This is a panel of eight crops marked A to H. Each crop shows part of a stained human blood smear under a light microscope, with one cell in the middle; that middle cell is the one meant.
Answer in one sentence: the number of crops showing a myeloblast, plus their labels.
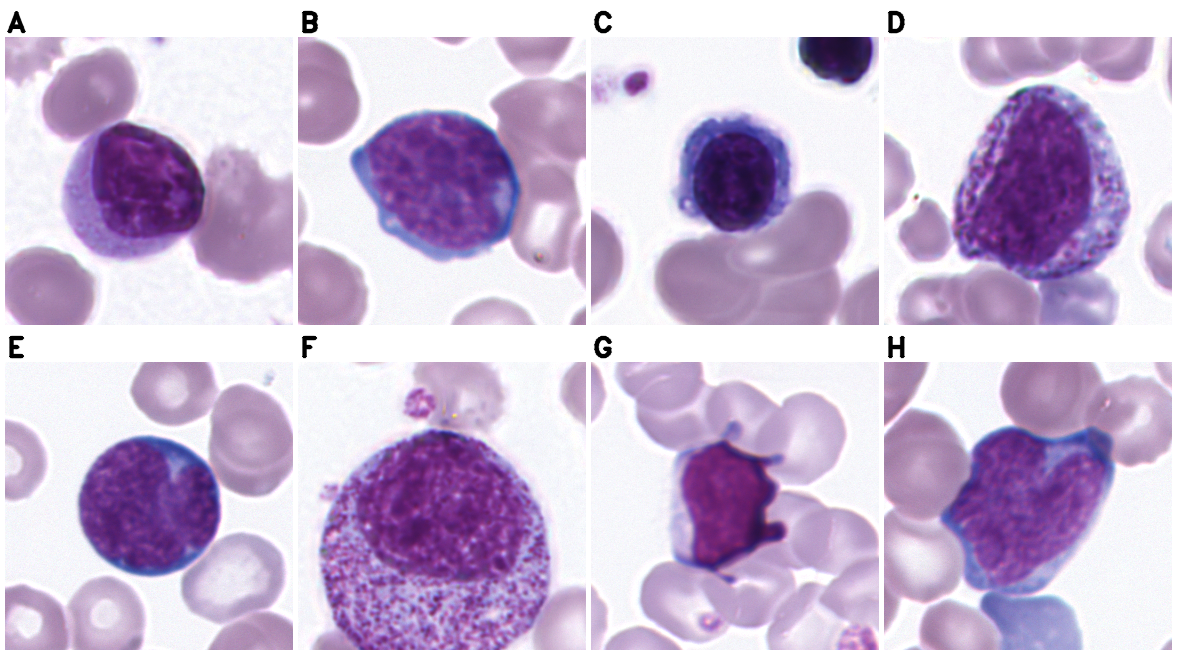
The myeloblasts turn up in three crops: B, E and H.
